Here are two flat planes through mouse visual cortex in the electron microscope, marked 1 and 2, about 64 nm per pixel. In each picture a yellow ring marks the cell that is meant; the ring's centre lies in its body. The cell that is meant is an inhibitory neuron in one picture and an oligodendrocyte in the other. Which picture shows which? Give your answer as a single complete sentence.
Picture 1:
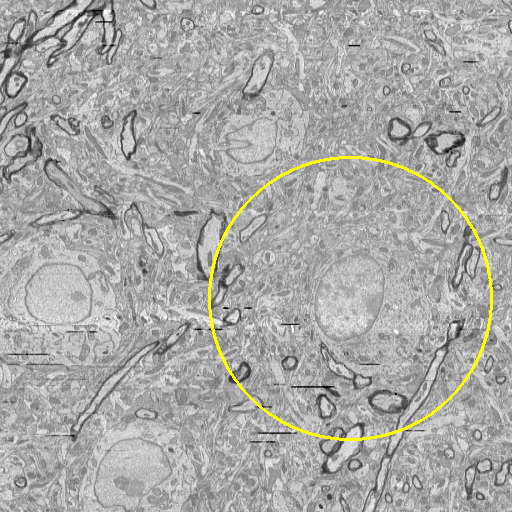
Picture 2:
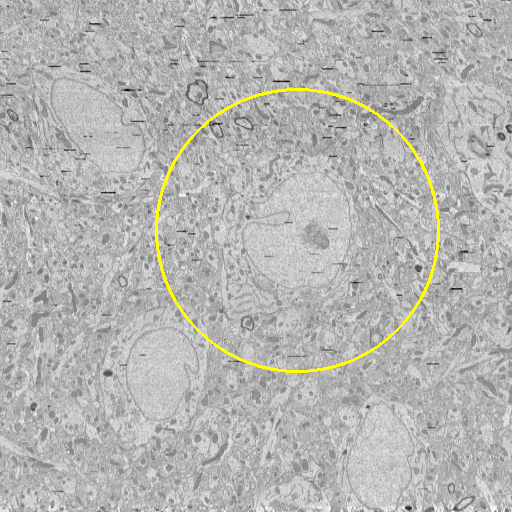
Picture 2 shows an inhibitory neuron, while picture 1 shows an oligodendrocyte.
